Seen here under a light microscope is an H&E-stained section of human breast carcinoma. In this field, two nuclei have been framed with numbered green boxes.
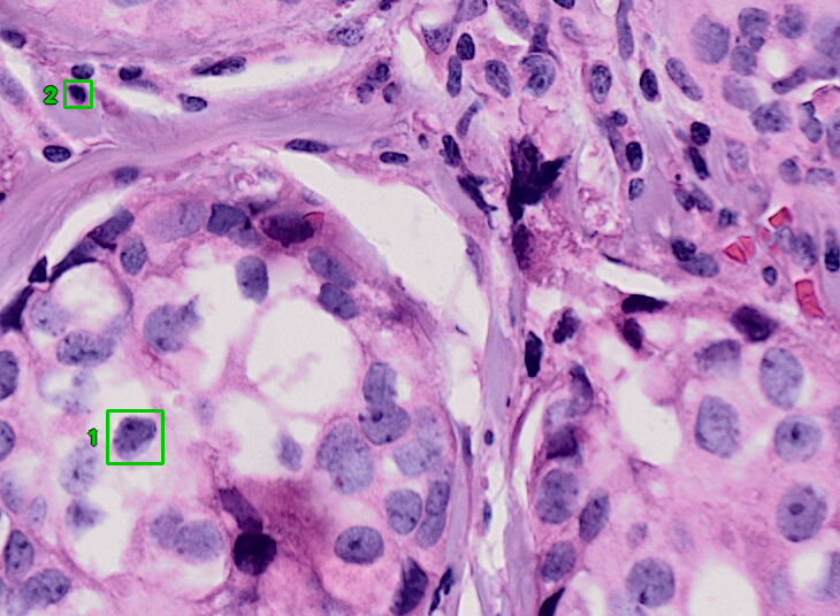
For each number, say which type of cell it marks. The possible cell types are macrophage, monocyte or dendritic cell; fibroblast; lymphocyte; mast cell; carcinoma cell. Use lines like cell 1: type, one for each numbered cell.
cell 1: carcinoma cell
cell 2: mast cell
